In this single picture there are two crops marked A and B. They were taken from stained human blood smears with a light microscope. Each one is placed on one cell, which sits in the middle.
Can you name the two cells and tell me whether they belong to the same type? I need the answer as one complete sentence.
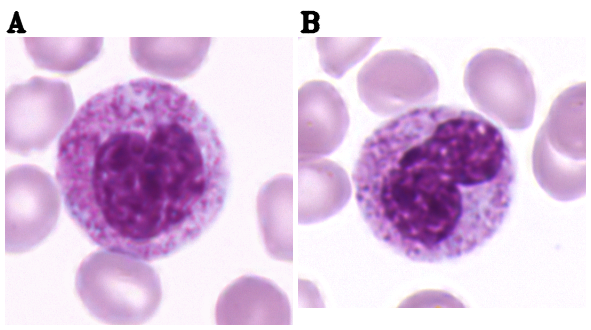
Yes, both crops show a cell each, and these are band neutrophils.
